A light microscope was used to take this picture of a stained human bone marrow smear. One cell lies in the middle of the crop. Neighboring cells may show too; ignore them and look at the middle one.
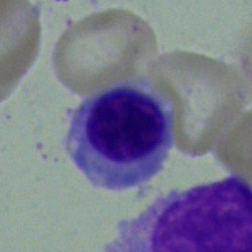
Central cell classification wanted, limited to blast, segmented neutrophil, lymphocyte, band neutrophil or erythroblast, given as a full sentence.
The middle cell in this particular crop is an erythroblast.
